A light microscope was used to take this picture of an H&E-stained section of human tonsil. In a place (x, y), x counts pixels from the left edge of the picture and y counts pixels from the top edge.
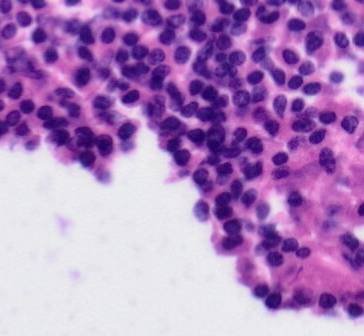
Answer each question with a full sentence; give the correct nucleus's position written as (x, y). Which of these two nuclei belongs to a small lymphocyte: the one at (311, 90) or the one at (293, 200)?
Of these two nuclei, only the one at (311, 90) belongs to a small lymphocyte.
